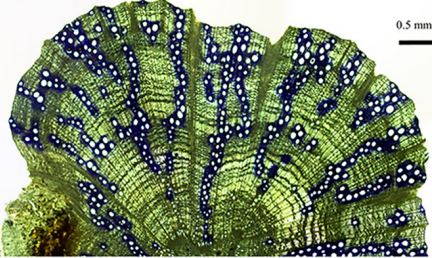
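Transverse section of a woody stem showing secondary xylem with vessels grouped in radial, flame-like bands. Concentric growth-ring boundaries cross the wood, and the vessel bands run outward from the centre toward the periphery.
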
